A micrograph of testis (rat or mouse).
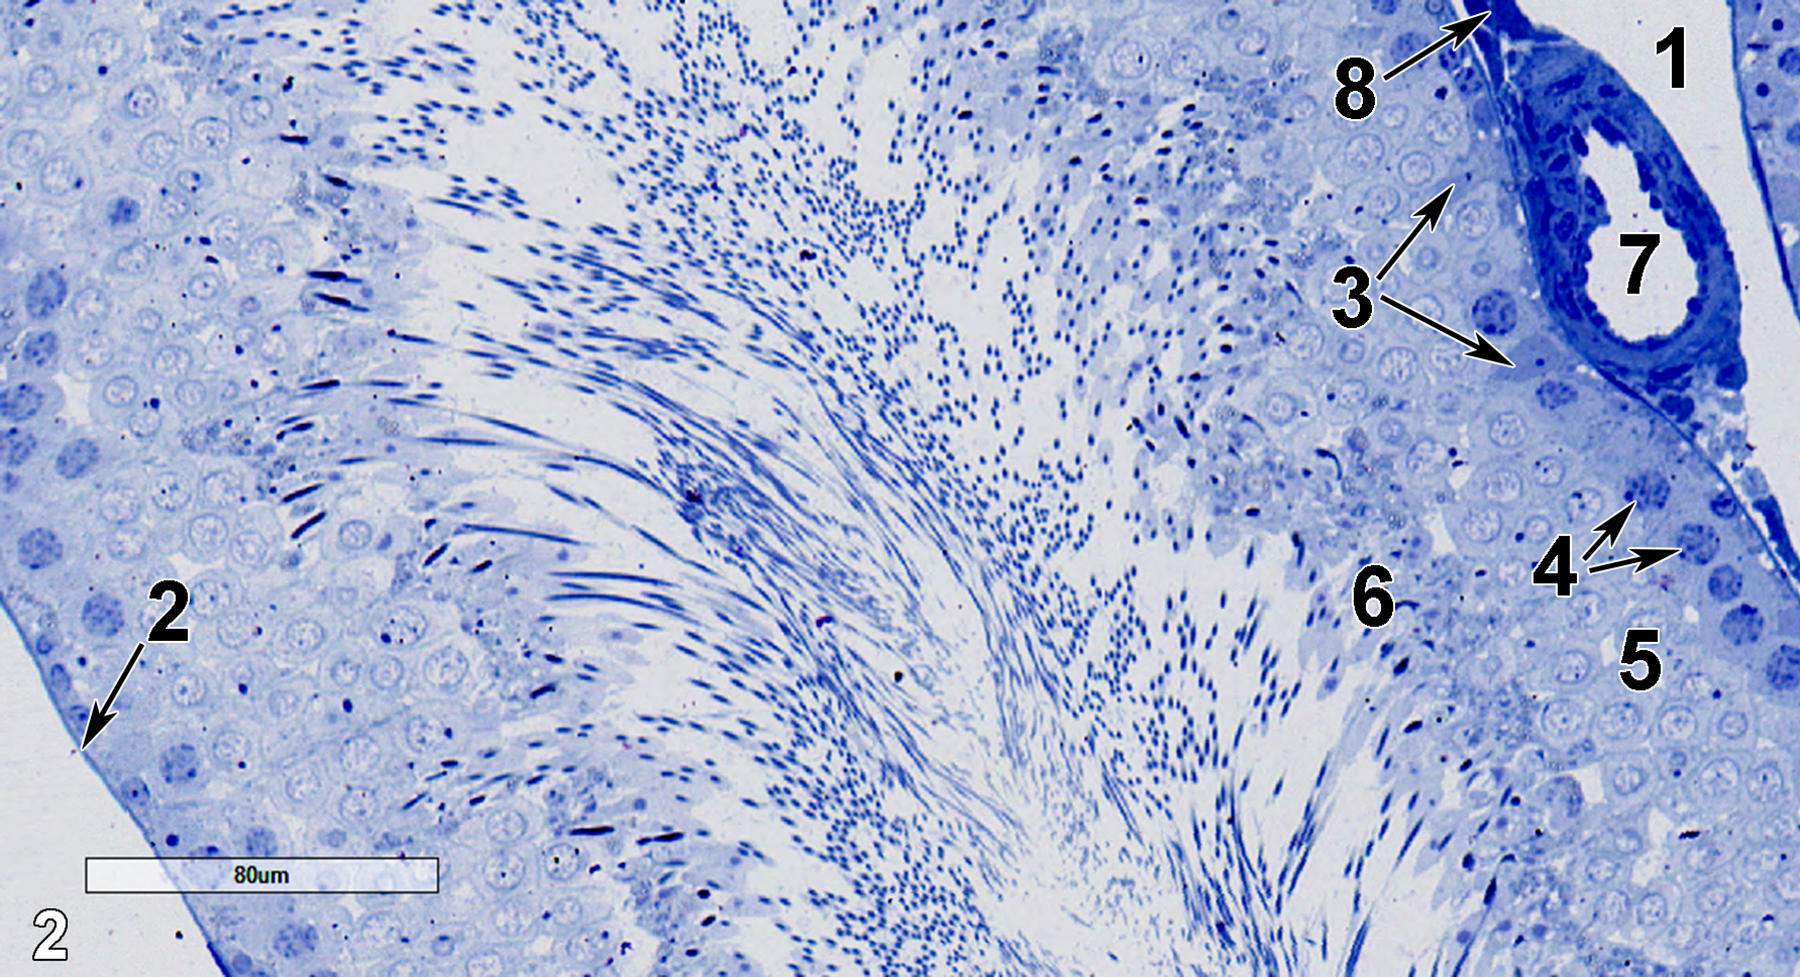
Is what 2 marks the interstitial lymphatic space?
No: the lamina propria.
